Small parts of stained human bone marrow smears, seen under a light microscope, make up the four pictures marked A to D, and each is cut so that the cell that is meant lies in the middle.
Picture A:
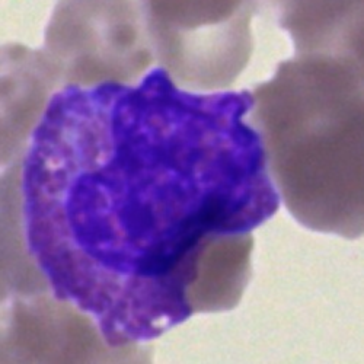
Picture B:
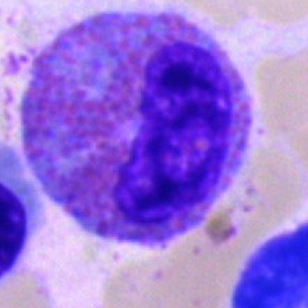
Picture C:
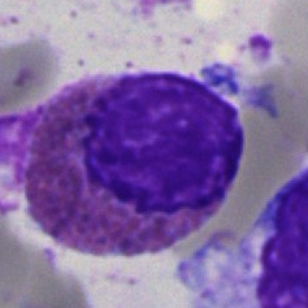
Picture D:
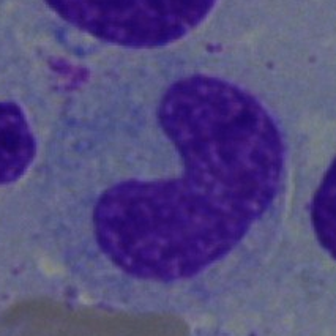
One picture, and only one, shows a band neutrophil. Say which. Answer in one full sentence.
The picture with the band neutrophil is D.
